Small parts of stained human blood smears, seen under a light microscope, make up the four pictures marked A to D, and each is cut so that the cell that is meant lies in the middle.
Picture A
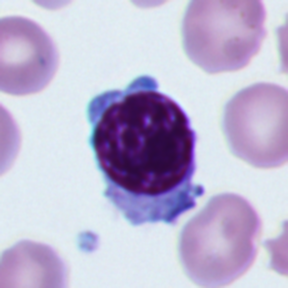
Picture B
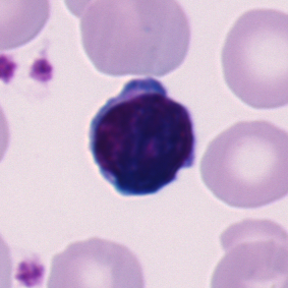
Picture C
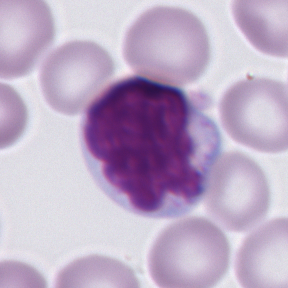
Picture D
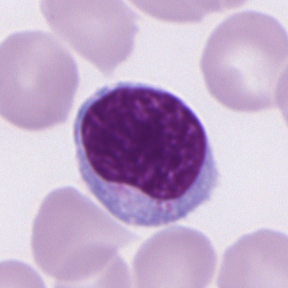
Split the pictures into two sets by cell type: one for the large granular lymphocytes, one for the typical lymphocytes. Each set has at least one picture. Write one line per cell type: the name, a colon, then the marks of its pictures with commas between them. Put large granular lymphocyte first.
large granular lymphocyte: C
typical lymphocyte: A, B, D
